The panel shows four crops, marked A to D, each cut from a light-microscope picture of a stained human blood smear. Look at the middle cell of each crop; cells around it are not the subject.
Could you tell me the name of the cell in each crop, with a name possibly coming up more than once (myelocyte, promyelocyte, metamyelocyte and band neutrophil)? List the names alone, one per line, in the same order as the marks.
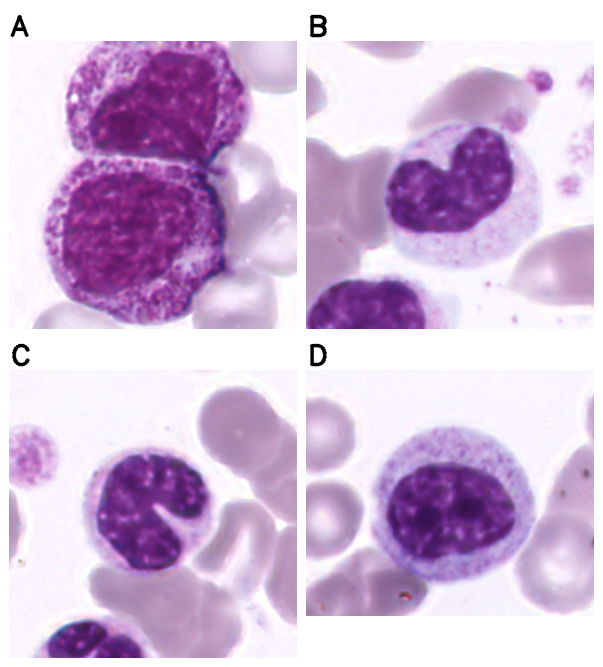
myelocyte
metamyelocyte
band neutrophil
metamyelocyte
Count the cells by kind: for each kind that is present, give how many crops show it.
metamyelocyte: 2
myelocyte: 1
band neutrophil: 1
